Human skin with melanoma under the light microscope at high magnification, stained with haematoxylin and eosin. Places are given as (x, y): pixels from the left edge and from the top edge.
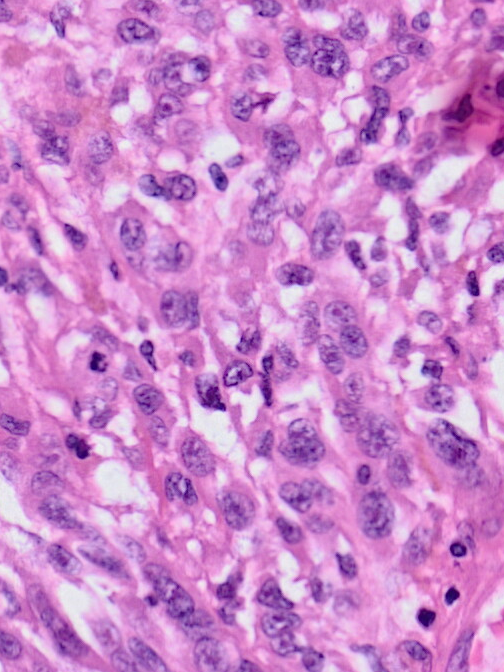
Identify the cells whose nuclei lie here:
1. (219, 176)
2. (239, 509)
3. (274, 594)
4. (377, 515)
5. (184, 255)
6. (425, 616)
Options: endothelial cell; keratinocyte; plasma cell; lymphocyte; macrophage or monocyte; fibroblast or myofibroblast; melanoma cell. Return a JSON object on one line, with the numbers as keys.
{"1": "lymphocyte", "2": "melanoma cell", "3": "melanoma cell", "4": "melanoma cell", "5": "melanoma cell", "6": "plasma cell"}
